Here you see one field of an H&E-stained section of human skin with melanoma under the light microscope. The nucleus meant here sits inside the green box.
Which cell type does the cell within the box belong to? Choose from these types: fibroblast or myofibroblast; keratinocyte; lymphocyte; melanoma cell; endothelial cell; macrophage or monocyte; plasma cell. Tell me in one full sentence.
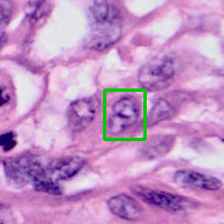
Assigned to a cell type, the cell within the box is a melanoma cell.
